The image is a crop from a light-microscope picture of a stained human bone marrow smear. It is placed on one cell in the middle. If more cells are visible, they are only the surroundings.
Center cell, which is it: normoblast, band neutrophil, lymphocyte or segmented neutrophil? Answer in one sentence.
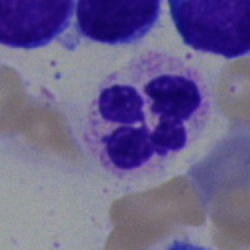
The cell that lies at the centre of the crop is a segmented neutrophil.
